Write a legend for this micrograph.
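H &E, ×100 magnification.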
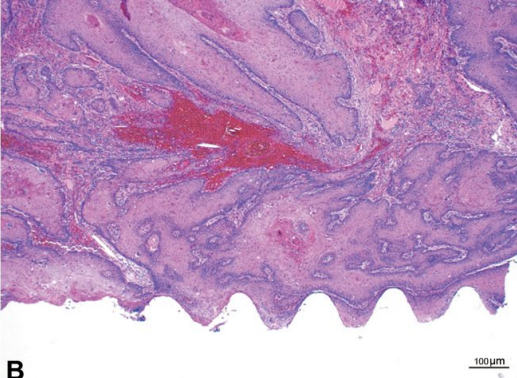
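This medium-power view shows a tumor made of broad, irregular, interconnected nests and cords of pink epithelial cells separated by narrow bands of connective tissue. The nest edges are outlined by darker purple cells with crowded nuclei, while their centres are paler pink. The lower edge of the tissue is bordered by a row of regular, evenly spaced rounded scallops, as if the tumor had grown tightly against a threaded object that is now missing, leaving an empty space.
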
